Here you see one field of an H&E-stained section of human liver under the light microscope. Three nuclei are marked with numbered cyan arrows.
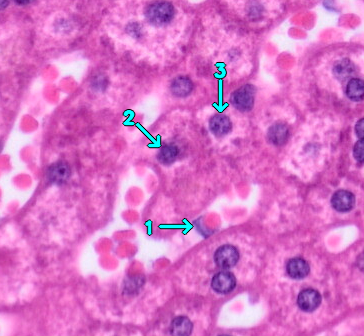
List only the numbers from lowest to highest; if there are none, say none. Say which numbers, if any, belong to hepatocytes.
2, 3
